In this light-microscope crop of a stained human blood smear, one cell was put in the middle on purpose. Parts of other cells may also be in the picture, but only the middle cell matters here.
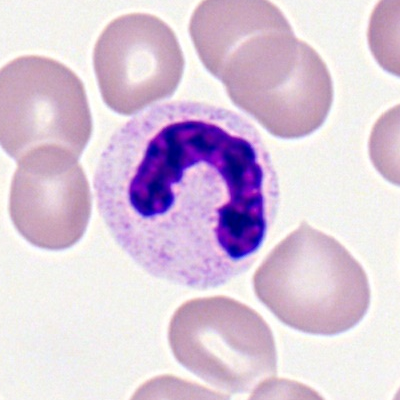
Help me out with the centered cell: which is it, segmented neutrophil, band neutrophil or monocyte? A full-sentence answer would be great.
For this crop, the central cell is a band neutrophil.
